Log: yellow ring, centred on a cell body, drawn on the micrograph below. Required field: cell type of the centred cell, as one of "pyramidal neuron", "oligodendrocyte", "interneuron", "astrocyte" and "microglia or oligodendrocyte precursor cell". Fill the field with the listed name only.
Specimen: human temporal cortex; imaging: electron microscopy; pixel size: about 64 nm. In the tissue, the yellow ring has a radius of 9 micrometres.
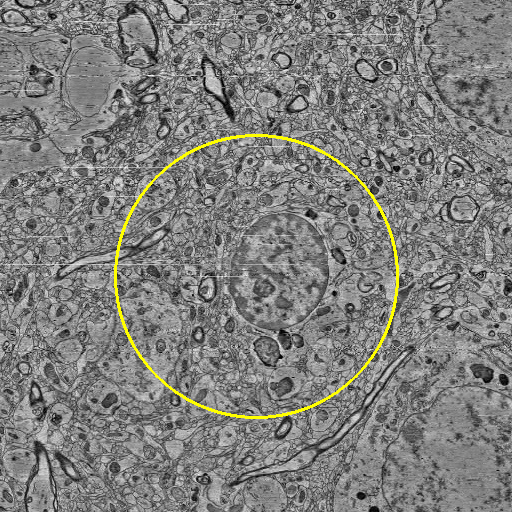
microglia or oligodendrocyte precursor cell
